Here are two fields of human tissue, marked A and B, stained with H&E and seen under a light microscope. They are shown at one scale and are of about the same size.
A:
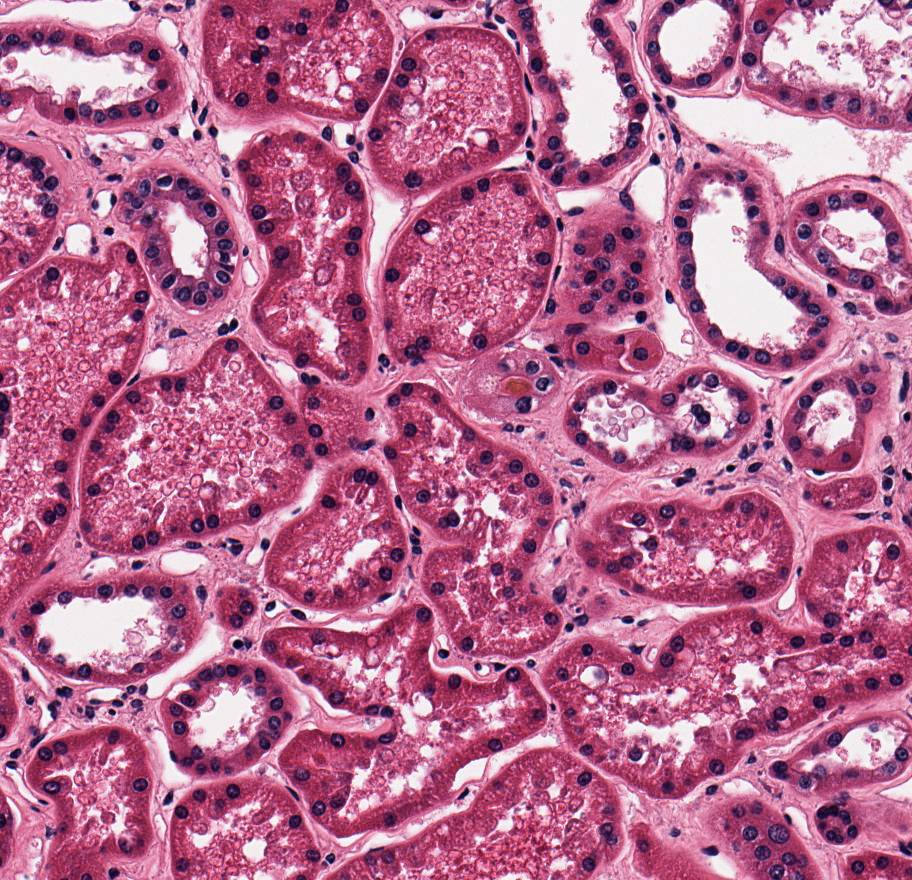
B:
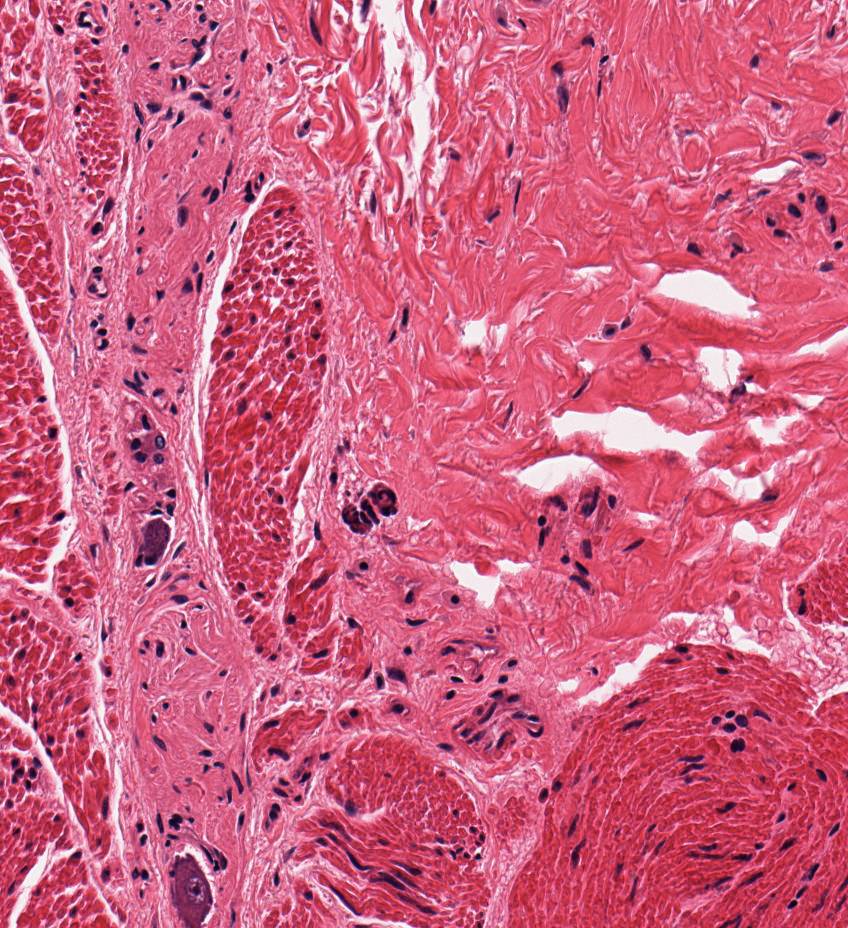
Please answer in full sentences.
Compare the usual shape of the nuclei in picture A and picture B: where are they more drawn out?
The nuclei are more elongated in picture B.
